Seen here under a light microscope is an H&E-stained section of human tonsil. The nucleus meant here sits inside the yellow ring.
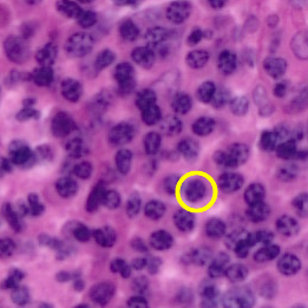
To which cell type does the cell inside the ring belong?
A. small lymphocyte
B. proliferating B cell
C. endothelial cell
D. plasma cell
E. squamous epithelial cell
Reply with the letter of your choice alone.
D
